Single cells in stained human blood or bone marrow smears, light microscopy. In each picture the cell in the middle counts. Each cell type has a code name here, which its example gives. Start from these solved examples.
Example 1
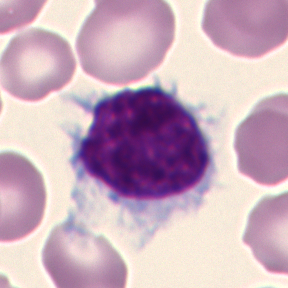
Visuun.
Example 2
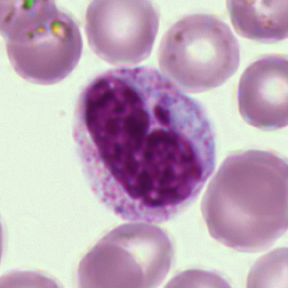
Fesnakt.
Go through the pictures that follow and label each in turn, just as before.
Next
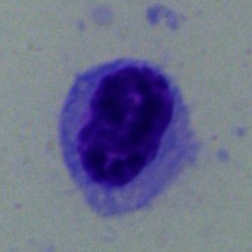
Visuun.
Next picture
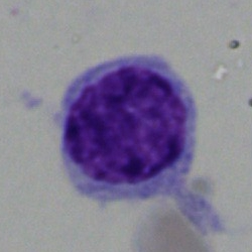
Visuun.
